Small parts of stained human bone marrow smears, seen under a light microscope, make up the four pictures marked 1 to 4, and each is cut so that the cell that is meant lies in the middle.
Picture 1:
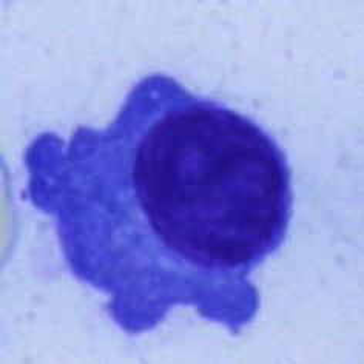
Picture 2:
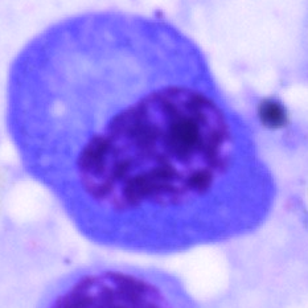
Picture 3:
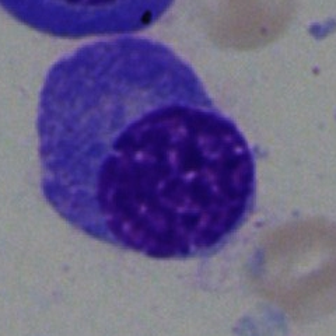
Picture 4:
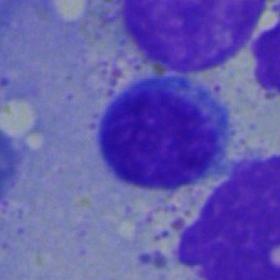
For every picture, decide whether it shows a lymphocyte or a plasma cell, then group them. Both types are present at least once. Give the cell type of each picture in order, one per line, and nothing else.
plasma cell
plasma cell
plasma cell
lymphocyte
